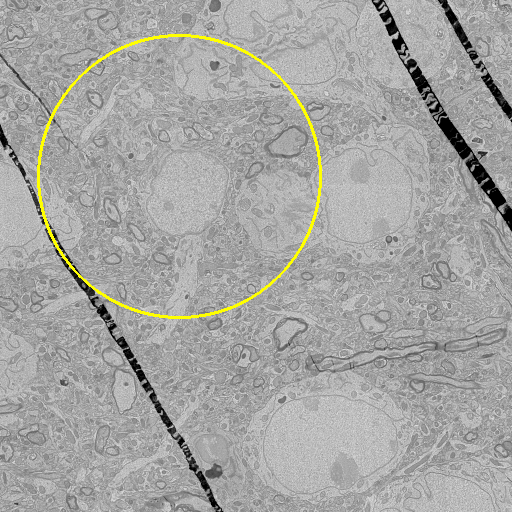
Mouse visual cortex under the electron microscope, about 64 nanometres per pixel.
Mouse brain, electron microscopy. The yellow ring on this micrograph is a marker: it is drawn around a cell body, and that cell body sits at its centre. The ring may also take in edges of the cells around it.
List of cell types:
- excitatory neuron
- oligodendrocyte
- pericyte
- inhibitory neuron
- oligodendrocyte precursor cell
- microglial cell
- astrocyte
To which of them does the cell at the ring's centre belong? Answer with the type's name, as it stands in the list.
oligodendrocyte precursor cell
